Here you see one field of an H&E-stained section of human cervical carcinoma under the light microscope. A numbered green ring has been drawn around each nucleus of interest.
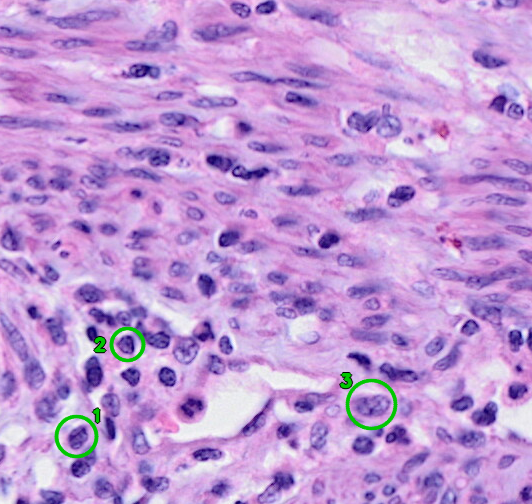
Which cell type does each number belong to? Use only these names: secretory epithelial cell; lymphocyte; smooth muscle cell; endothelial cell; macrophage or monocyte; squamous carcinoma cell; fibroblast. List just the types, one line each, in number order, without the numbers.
lymphocyte
lymphocyte
macrophage or monocyte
